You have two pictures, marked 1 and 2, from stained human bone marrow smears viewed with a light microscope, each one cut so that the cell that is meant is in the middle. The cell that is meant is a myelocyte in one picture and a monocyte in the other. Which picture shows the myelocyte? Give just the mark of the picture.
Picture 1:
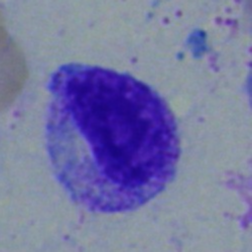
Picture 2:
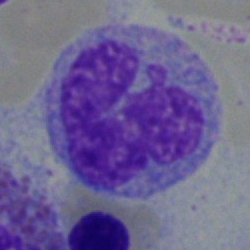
1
